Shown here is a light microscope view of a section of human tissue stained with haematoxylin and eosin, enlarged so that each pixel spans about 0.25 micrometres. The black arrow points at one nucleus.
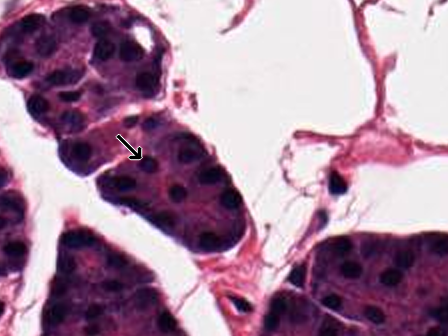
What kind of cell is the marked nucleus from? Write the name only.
pancreatic acinar cell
